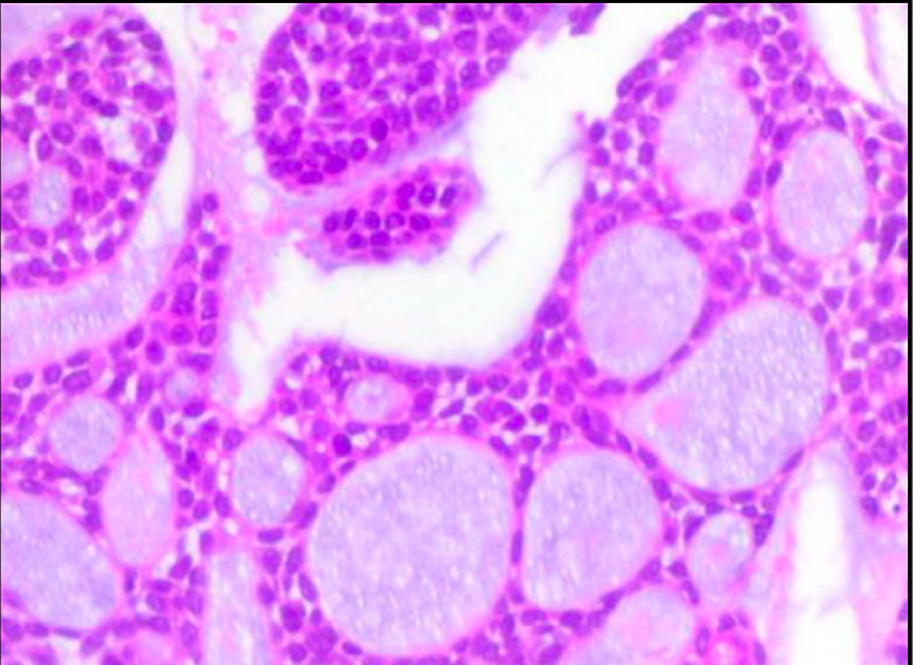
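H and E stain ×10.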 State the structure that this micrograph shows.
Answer: Cystic spaces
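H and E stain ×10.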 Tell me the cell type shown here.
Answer: small cuboidal cells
